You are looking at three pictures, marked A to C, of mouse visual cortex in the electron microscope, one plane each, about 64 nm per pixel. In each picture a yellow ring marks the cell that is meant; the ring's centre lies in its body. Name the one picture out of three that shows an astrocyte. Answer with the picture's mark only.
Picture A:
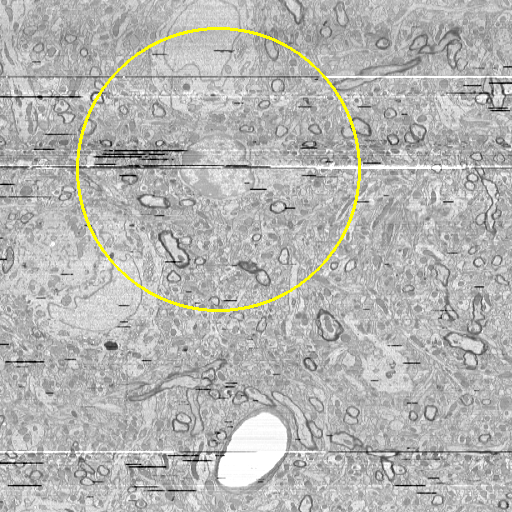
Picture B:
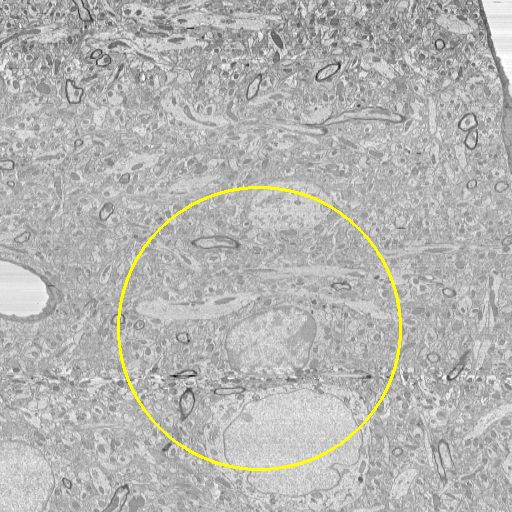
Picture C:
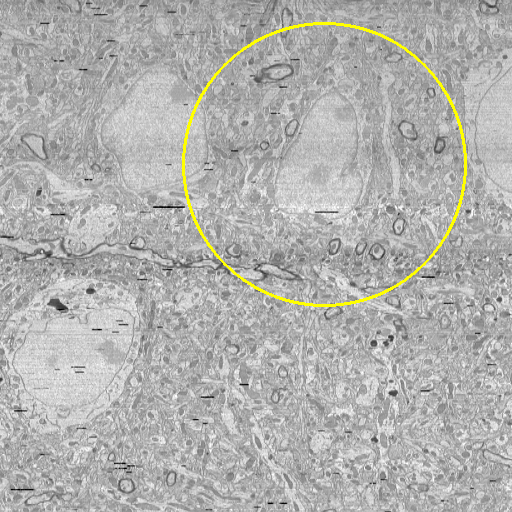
C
